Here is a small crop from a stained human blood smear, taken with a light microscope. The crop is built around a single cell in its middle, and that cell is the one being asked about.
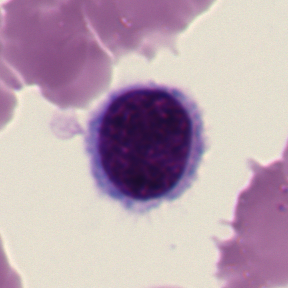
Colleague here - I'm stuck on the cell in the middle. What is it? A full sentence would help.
The cell in the middle of this crop is a hairy cell.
